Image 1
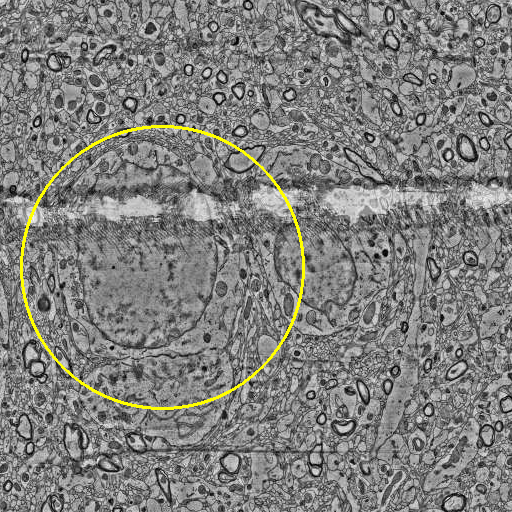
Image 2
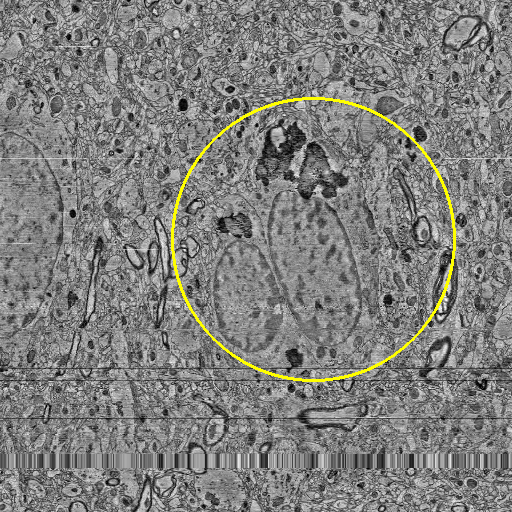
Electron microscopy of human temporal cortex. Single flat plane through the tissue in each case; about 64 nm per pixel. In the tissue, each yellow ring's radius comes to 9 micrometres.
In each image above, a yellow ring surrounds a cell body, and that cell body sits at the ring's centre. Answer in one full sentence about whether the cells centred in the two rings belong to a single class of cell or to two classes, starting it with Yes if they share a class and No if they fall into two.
No, the cells centred in the two yellow rings belong to two classes of cell.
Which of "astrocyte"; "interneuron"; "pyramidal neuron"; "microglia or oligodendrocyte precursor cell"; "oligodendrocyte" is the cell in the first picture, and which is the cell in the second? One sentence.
The two differ: the first cell is an interneuron and the second is an oligodendrocyte.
